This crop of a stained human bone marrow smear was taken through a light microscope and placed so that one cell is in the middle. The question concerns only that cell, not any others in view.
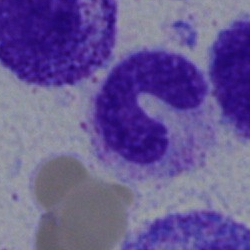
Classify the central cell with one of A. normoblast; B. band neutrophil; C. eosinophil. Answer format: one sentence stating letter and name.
Here the right option is B, as the cell in the middle is a band neutrophil.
